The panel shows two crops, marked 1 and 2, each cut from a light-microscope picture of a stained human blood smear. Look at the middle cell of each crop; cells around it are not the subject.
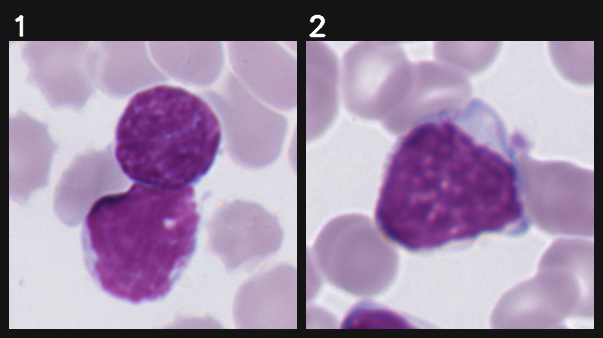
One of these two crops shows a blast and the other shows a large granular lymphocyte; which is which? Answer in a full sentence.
Crop 1 is recognised as a blast, crop 2 as a large granular lymphocyte.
